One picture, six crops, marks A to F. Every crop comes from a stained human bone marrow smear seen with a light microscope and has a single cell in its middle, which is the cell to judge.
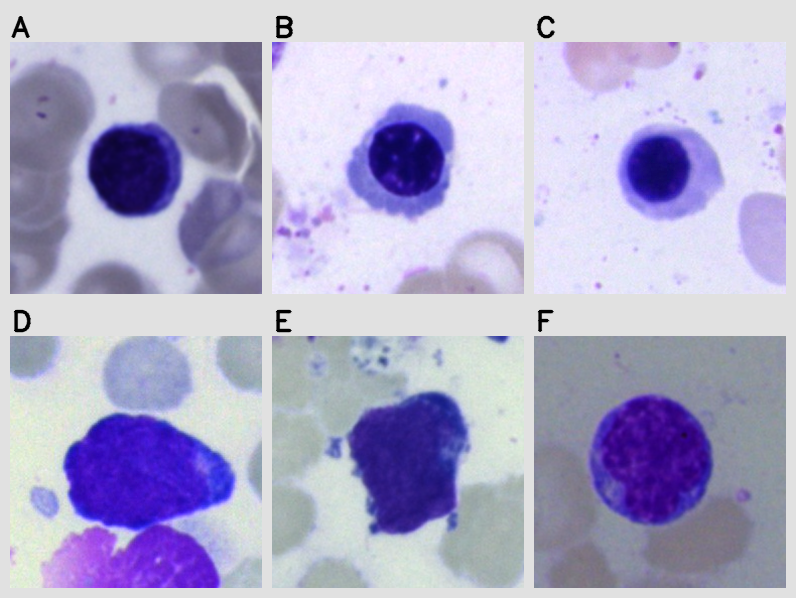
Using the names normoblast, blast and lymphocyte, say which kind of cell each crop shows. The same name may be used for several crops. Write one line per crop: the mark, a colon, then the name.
A: lymphocyte
B: normoblast
C: normoblast
D: blast
E: blast
F: blast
